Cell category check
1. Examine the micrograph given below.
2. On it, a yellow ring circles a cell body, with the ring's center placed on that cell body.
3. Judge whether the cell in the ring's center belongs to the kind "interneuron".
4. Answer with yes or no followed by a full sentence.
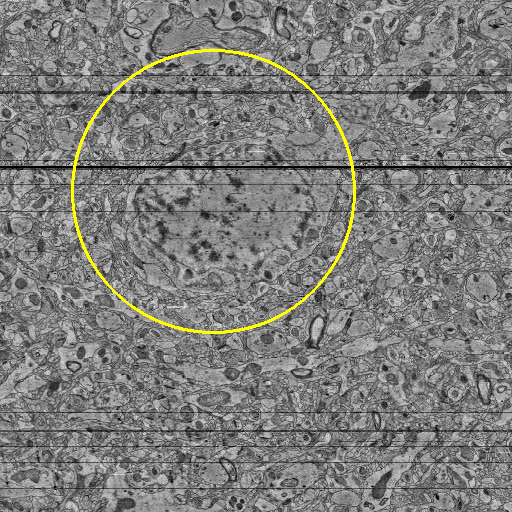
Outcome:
Yes, the cell at the center of the yellow ring belongs to that kind.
